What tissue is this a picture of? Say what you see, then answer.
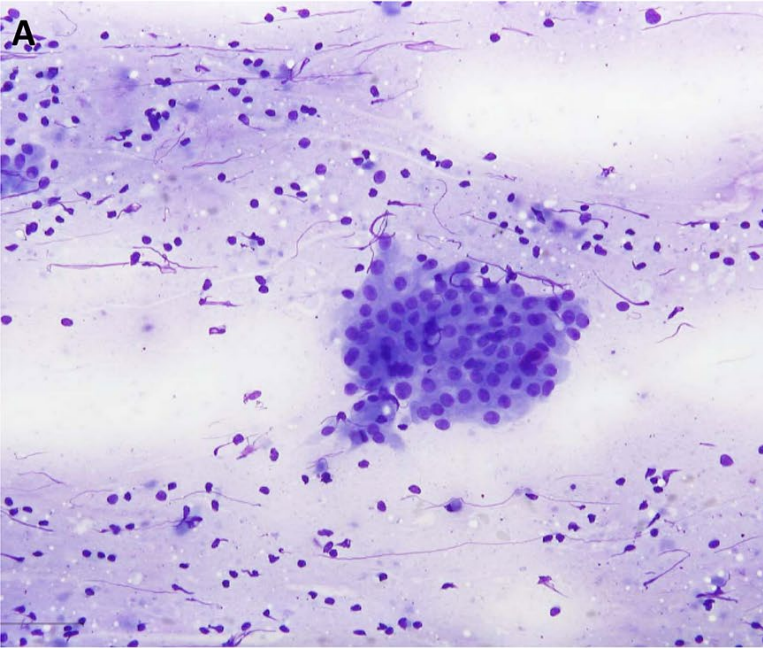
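A single cohesive cluster of cells lies in the centre. The cells in the cluster have a broad rim of pale blue-purple cytoplasm. The answer: flat sheet of oncocytic epithelium.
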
